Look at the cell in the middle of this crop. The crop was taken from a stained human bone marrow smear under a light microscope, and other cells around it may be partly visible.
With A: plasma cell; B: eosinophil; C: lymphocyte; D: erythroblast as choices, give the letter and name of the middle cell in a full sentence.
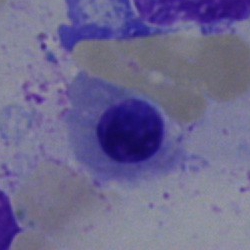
The correct option here is D; the middle cell is an erythroblast.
